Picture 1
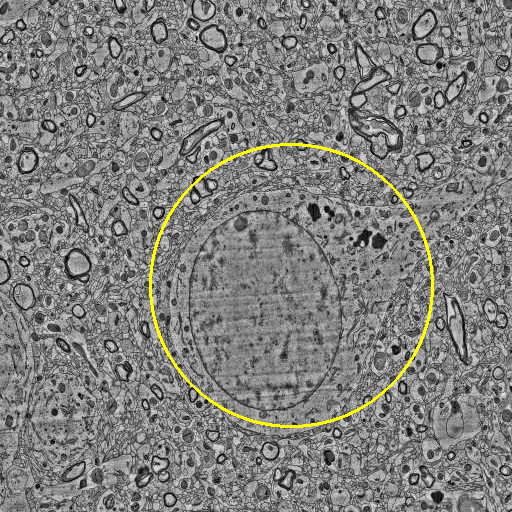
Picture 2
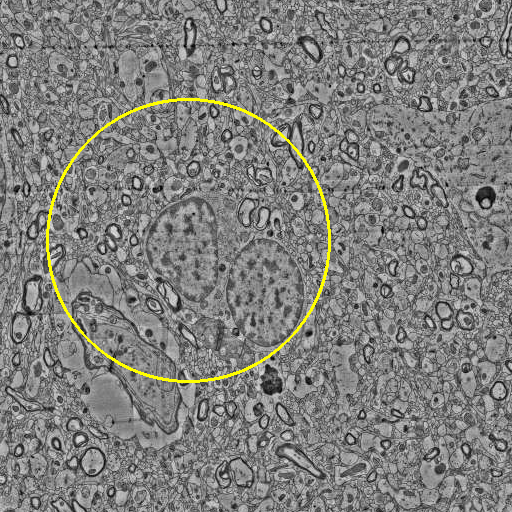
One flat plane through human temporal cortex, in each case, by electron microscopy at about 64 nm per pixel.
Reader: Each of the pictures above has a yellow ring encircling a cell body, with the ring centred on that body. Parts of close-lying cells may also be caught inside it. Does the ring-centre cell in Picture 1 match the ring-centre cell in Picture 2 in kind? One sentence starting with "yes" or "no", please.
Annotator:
No, Picture 1 and Picture 2 show ring-centre cells of two kinds.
